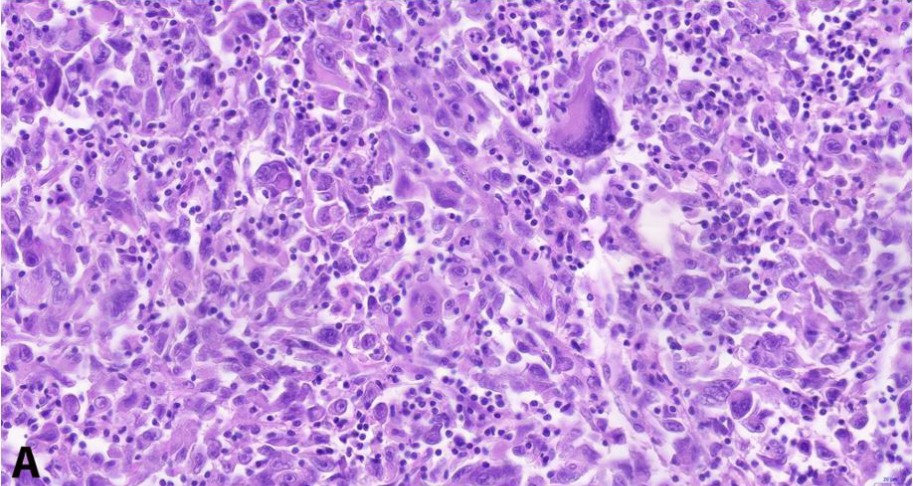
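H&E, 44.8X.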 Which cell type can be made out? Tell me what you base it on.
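Highly pleomorphic epithelioid cells. Large polygonal cells with abundant pink cytoplasm. Nuclei vary greatly in size and shape. Cells lie in sheets among small round dark inflammatory cells.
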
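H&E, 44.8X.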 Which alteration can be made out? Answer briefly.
bizarre cells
